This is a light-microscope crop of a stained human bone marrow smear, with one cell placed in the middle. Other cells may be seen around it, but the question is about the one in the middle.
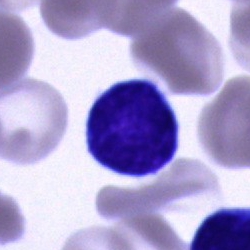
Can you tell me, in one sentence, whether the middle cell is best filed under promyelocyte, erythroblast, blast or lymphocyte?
The cell sitting right in the middle is a lymphocyte.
